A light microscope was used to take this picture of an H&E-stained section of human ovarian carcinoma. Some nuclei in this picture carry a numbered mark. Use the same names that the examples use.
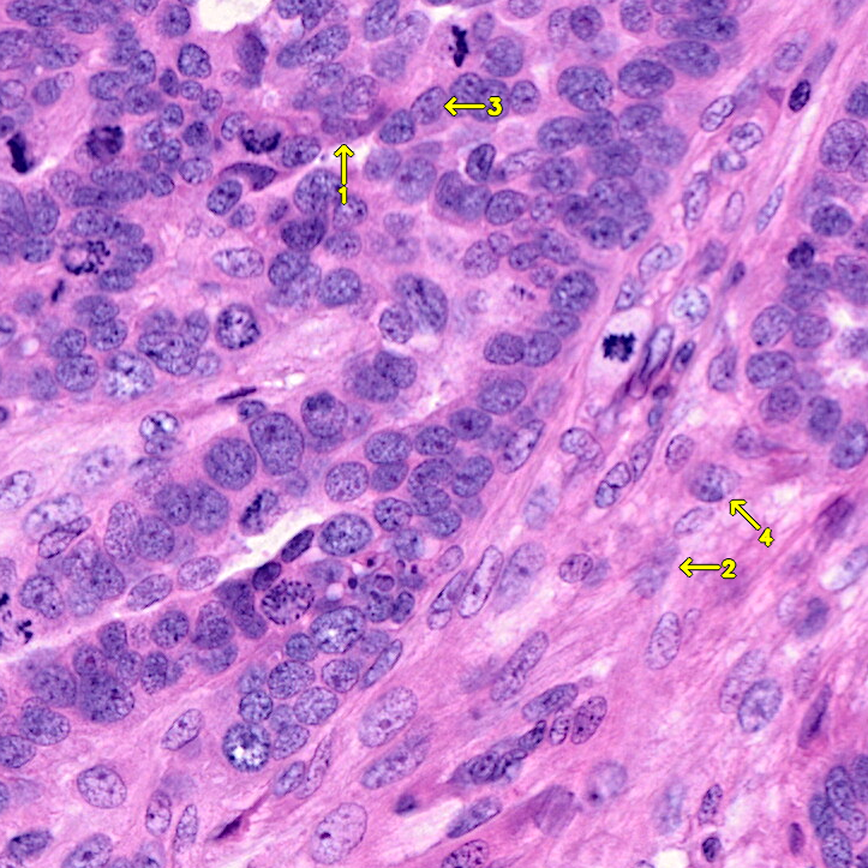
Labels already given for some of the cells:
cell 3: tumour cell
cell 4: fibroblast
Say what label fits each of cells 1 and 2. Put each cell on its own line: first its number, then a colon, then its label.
1: tumour cell
2: fibroblast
